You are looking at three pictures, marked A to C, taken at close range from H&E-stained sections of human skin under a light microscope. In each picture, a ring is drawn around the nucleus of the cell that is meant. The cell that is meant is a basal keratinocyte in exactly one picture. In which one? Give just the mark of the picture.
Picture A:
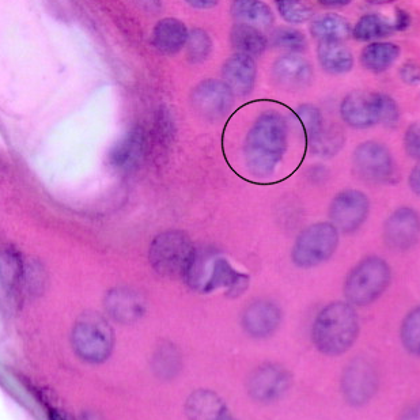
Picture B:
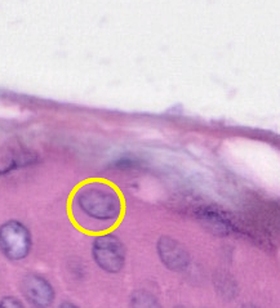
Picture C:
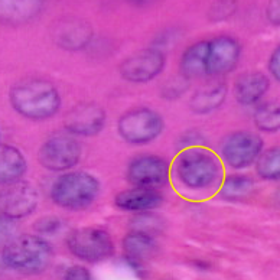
C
